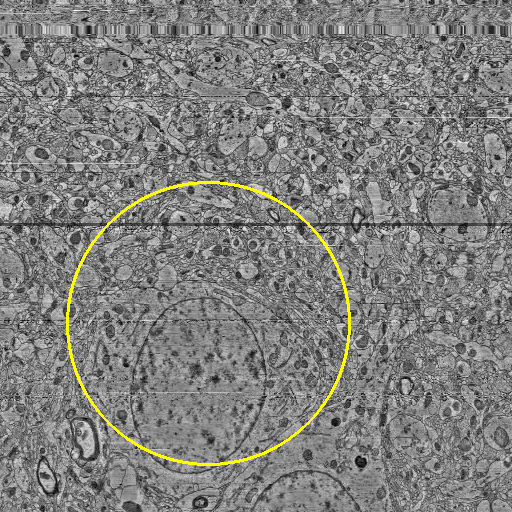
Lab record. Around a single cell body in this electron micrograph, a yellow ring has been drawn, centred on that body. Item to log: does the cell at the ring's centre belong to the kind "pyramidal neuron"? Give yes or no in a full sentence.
Yes, in the micrograph, the ringed cell at the centre belongs to that kind.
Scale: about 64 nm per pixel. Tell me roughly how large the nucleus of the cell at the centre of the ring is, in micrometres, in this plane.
In this plane, approximately 12 by 9 micrometers.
